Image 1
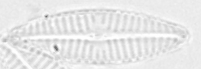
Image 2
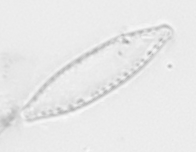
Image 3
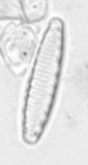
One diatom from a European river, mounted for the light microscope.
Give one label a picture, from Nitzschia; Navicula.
Picture 1: Navicula
Picture 2: Nitzschia
Picture 3: Nitzschia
